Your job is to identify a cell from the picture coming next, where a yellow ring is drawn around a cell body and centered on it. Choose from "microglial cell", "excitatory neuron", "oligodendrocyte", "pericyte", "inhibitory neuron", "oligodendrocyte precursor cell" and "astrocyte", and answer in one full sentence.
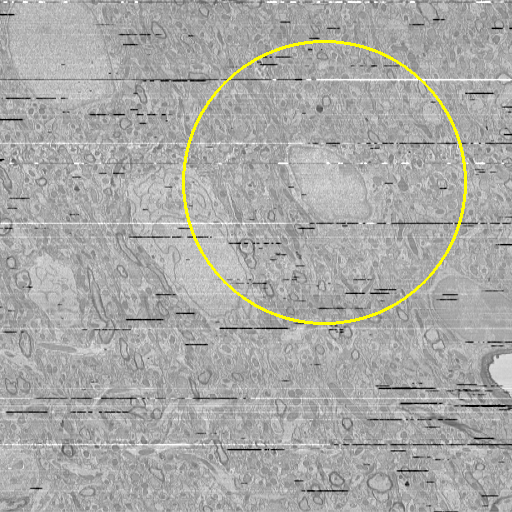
Centered in the yellow ring of the picture is the body of an astrocyte.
